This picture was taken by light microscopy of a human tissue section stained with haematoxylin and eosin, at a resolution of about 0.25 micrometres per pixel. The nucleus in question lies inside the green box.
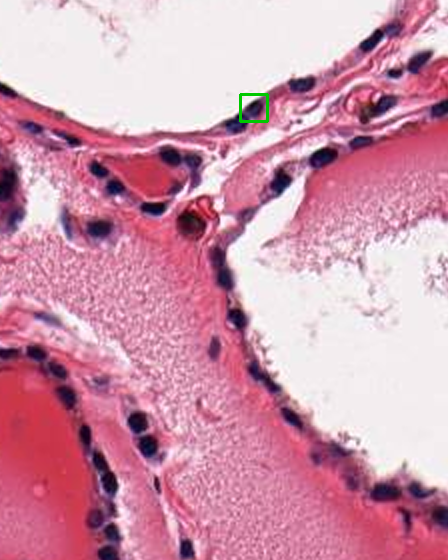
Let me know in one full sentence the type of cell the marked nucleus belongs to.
A nucleus belonging to a thyroid follicular cell is the one marked.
